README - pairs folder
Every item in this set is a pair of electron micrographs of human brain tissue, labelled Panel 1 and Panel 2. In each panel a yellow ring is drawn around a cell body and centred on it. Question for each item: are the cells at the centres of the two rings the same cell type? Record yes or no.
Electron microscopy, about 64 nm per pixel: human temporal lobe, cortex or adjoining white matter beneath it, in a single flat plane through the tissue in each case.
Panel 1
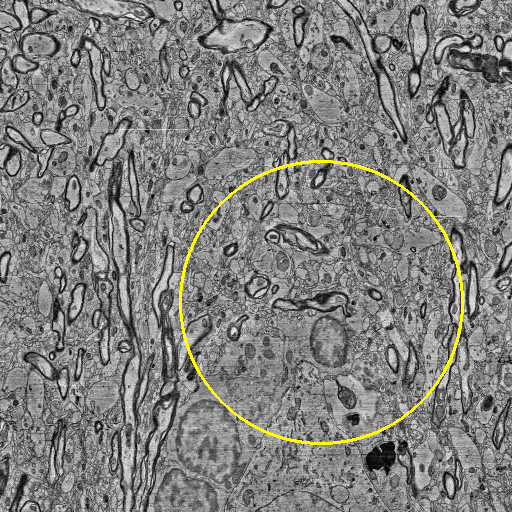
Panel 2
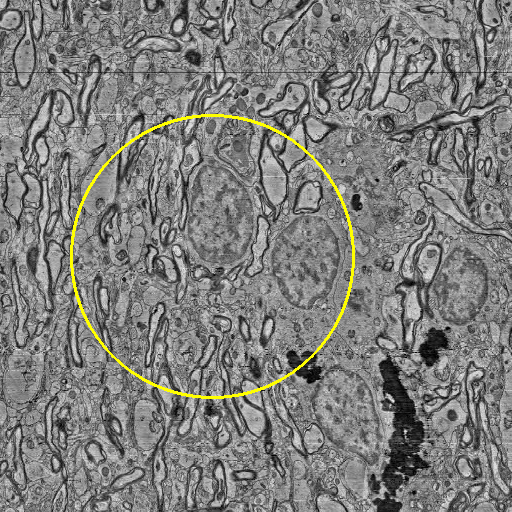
yes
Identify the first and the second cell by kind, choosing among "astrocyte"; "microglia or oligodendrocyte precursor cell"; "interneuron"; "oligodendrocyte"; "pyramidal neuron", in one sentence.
In both pictures the ring is centred on an oligodendrocyte.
